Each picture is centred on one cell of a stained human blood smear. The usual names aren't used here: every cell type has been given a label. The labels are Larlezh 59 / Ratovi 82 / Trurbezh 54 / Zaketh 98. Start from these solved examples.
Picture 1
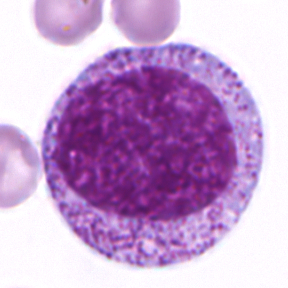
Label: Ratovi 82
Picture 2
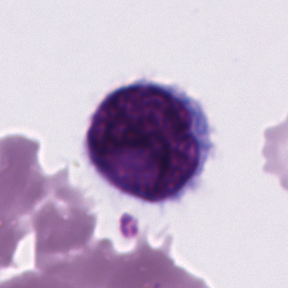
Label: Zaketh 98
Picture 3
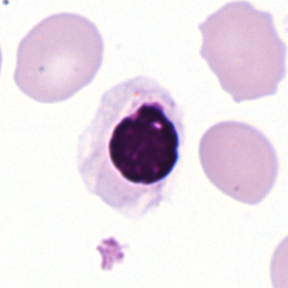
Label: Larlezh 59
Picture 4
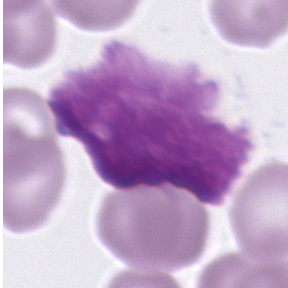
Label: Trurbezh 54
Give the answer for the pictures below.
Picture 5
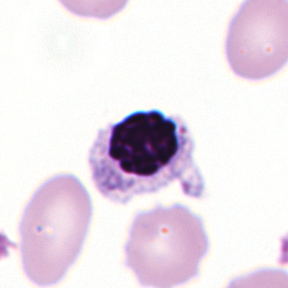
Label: Larlezh 59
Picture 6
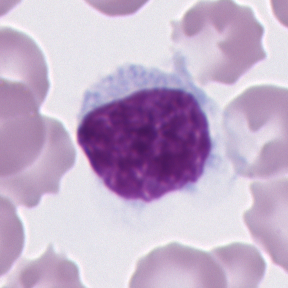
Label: Zaketh 98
